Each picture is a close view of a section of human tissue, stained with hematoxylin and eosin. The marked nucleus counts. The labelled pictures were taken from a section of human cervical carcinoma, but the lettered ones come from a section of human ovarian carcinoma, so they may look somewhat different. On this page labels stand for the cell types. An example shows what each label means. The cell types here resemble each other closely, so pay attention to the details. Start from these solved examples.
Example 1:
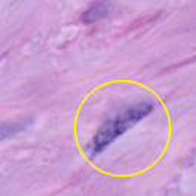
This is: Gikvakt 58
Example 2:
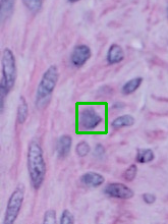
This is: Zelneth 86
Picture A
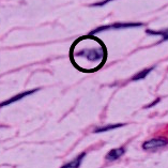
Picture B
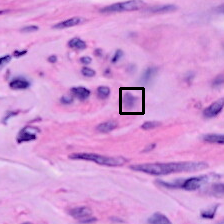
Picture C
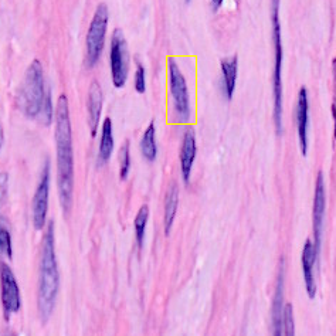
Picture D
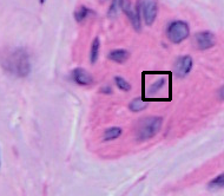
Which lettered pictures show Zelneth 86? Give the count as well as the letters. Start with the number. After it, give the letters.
3, namely B, C, D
